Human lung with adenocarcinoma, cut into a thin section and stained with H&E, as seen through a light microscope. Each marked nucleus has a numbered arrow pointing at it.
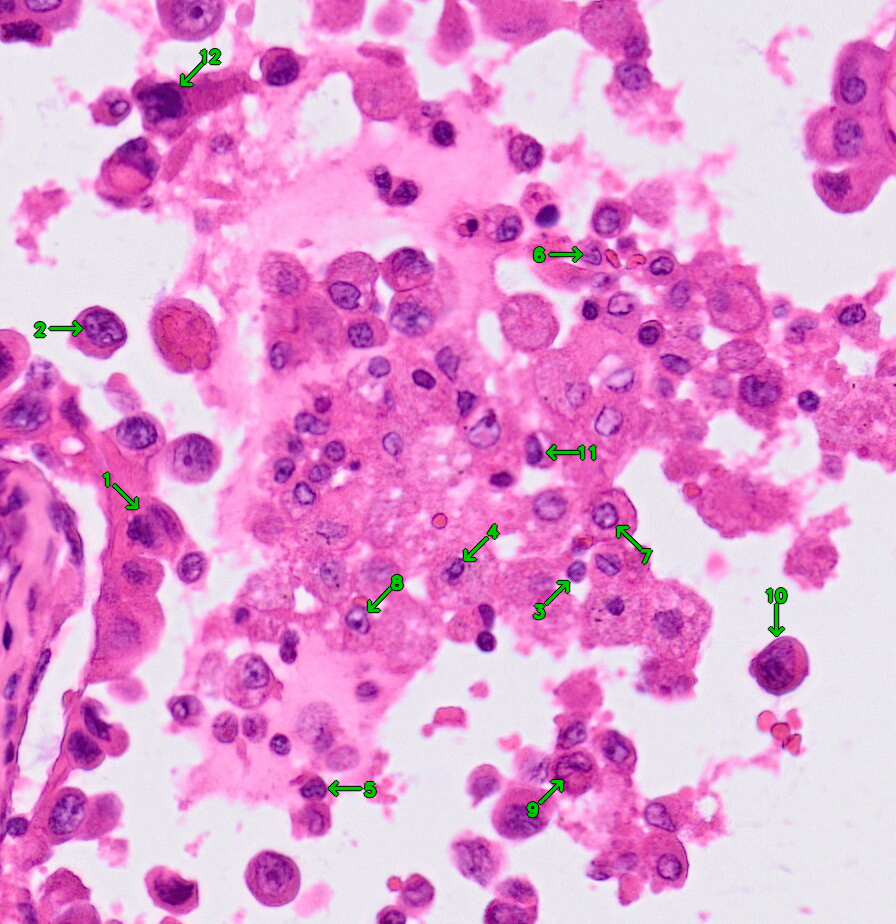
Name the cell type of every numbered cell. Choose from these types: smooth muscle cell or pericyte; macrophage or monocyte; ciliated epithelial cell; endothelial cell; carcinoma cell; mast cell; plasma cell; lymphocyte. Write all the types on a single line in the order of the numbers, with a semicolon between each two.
carcinoma cell; carcinoma cell; lymphocyte; macrophage or monocyte; macrophage or monocyte; macrophage or monocyte; macrophage or monocyte; macrophage or monocyte; macrophage or monocyte; carcinoma cell; macrophage or monocyte; carcinoma cell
